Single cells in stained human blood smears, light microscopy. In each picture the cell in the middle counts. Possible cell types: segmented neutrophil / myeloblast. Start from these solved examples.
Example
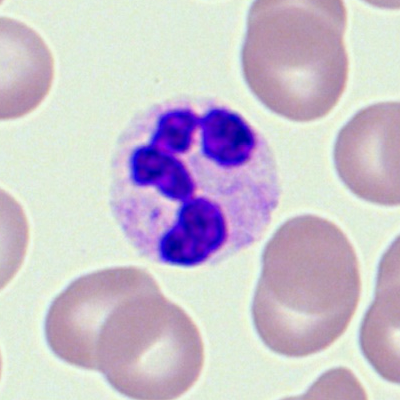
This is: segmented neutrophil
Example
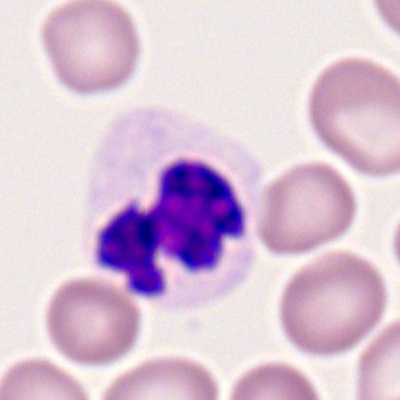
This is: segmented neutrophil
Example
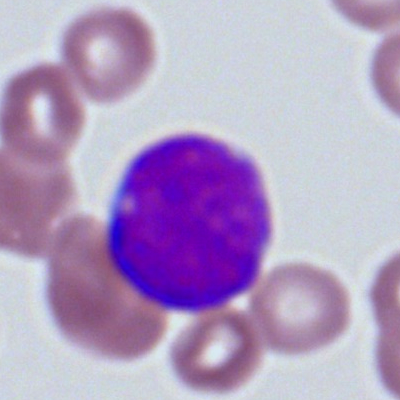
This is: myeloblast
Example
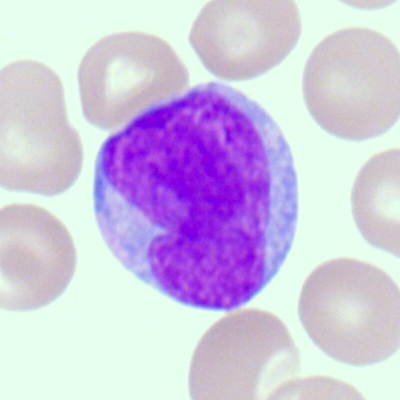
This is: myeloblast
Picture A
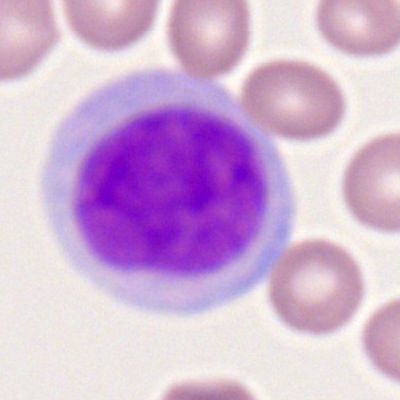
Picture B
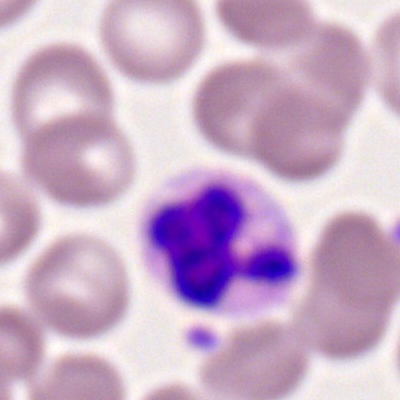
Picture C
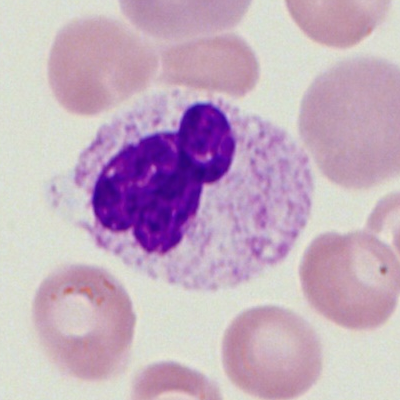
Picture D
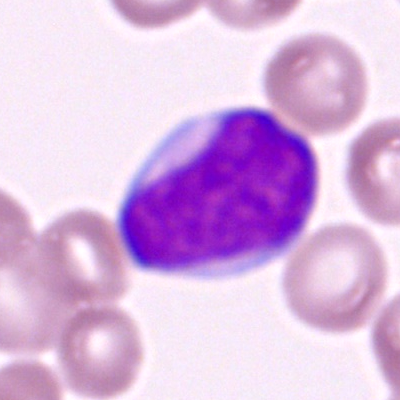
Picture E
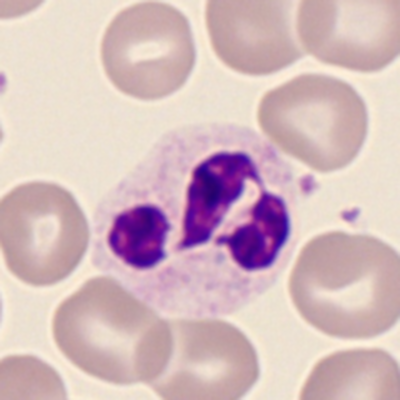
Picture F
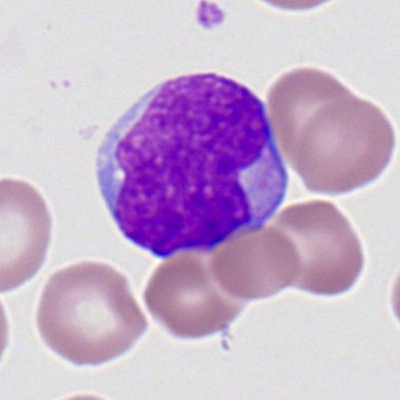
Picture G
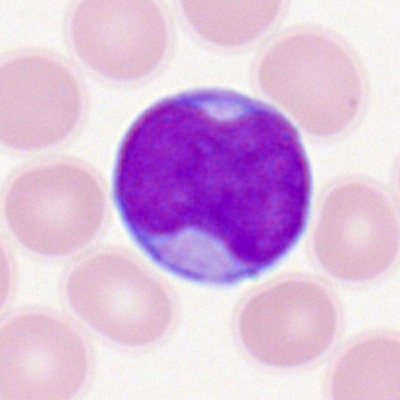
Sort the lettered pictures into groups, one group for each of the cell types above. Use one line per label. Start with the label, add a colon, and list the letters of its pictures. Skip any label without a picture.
segmented neutrophil: B, C, E
myeloblast: A, D, F, G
